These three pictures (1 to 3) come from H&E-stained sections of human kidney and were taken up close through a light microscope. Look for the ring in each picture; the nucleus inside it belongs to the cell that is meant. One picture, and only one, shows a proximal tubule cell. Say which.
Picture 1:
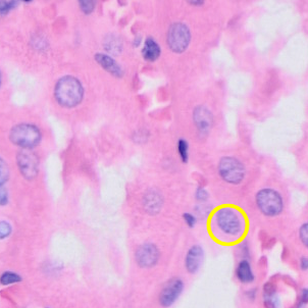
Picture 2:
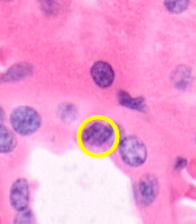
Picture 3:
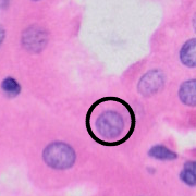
3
